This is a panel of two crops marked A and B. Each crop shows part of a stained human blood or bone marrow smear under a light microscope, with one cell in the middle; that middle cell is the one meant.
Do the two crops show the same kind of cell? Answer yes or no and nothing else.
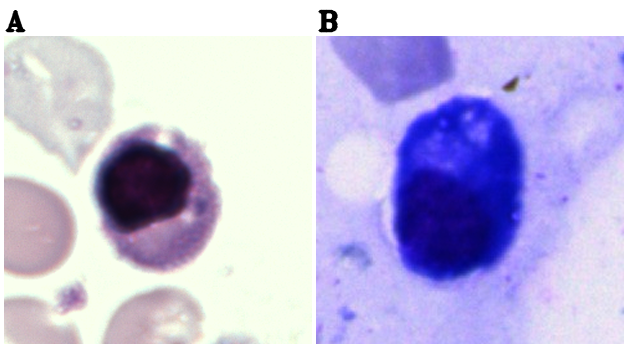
no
